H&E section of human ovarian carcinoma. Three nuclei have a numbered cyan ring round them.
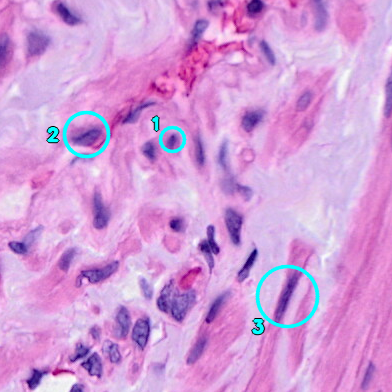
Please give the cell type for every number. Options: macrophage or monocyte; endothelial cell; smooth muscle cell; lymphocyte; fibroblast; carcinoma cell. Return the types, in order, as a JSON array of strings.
["smooth muscle cell", "endothelial cell", "smooth muscle cell"]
